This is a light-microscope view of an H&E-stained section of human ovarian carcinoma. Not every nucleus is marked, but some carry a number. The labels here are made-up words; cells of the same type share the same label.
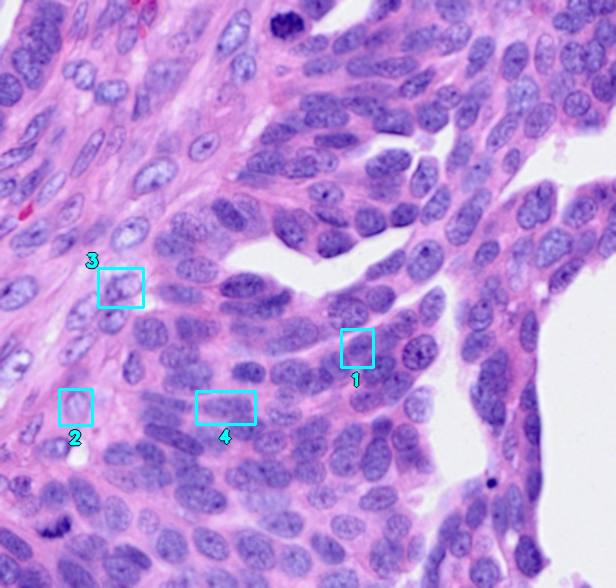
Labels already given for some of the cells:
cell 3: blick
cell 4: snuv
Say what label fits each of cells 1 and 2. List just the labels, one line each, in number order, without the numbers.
snuv
blick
